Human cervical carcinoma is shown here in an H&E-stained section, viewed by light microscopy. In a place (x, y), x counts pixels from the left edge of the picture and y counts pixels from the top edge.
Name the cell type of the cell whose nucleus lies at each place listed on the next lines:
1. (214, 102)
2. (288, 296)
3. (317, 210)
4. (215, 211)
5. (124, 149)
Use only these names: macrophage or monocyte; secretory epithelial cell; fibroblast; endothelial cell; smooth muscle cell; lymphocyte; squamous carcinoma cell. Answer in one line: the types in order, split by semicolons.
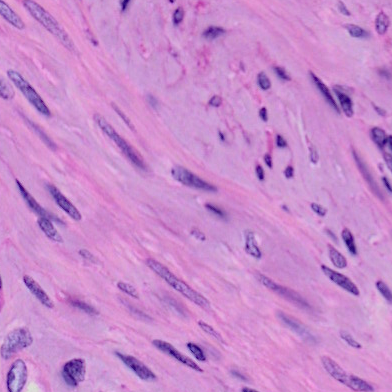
smooth muscle cell; smooth muscle cell; fibroblast; fibroblast; smooth muscle cell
